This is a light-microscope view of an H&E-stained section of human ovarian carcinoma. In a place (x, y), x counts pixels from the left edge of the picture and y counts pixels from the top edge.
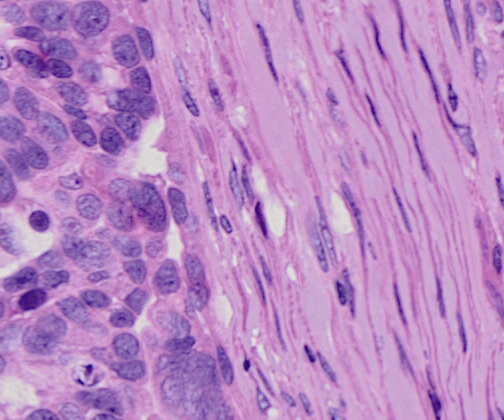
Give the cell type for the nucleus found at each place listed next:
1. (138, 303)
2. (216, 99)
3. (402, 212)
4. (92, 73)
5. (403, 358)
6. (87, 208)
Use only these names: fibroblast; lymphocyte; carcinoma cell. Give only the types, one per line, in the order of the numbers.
carcinoma cell
fibroblast
fibroblast
carcinoma cell
fibroblast
carcinoma cell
